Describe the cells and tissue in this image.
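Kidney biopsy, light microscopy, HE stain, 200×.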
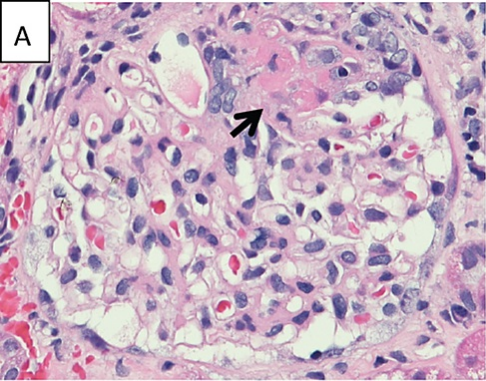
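Many loops are open and contain a few red blood cells, and the tuft shows many blue nuclei of glomerular cells. At the top, one segment of the tuft is replaced by smudgy, bright pink, structureless material in which capillary loops can no longer be made out, a focus of fibrinoid tuft necrosis. Parts of tubules and interstitium lie at the edges of the field.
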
